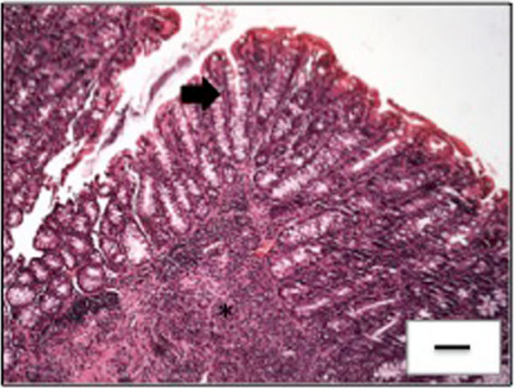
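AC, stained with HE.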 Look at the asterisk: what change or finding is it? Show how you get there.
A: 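A cluster of densely packed small dark nuclei lies between the bases of the crypts.
Answer: inflammatory infiltrate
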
